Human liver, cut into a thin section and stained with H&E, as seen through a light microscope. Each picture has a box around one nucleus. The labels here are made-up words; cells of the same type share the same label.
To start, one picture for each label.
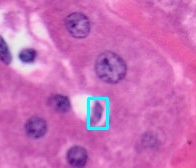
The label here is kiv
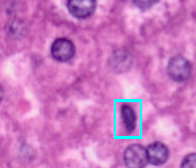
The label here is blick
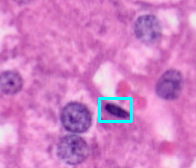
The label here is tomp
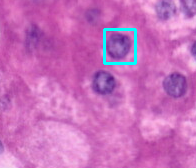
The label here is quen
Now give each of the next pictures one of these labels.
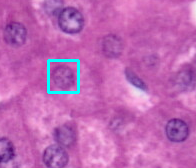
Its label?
quen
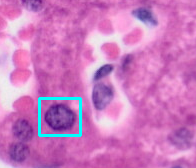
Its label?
quen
